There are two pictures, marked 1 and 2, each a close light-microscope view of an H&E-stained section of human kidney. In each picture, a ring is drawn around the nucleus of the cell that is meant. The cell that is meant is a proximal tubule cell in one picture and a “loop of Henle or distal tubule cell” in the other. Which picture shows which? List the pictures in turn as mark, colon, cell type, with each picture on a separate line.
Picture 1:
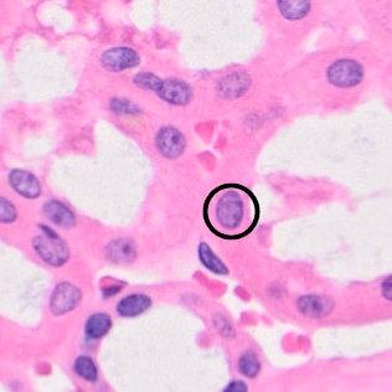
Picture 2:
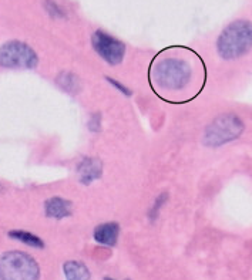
1: proximal tubule cell
2: loop of Henle or distal tubule cell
